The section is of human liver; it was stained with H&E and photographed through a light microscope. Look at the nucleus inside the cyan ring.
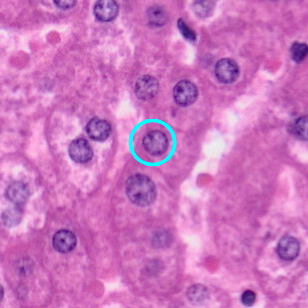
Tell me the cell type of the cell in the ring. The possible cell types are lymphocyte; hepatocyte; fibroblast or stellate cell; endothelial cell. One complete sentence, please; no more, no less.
Within this tissue, the cell in the ring is a hepatocyte.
